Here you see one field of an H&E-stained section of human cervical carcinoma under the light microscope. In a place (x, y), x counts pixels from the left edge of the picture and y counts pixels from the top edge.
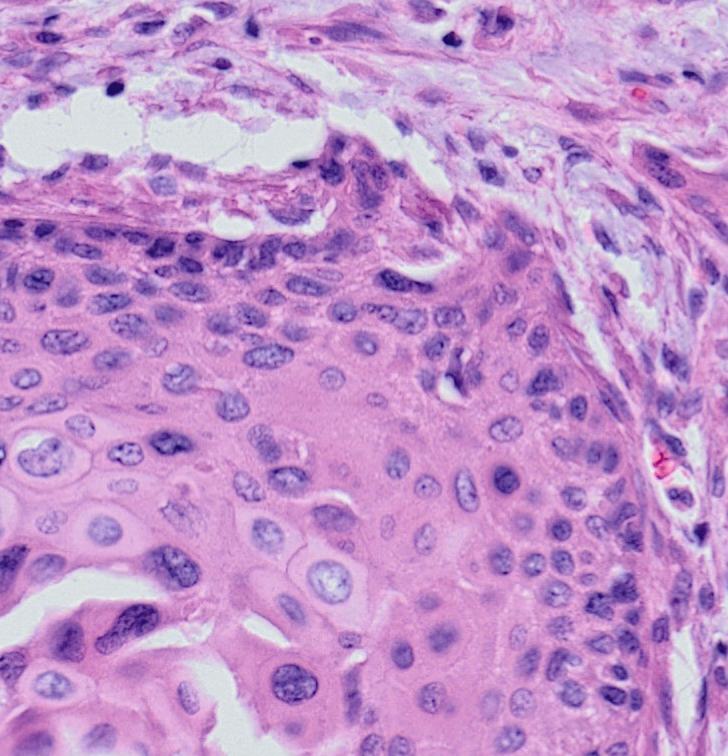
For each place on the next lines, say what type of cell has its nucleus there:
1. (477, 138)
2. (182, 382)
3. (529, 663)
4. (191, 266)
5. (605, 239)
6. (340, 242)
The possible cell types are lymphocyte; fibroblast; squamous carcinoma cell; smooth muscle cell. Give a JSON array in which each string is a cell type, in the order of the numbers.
["fibroblast", "squamous carcinoma cell", "squamous carcinoma cell", "squamous carcinoma cell", "fibroblast", "squamous carcinoma cell"]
